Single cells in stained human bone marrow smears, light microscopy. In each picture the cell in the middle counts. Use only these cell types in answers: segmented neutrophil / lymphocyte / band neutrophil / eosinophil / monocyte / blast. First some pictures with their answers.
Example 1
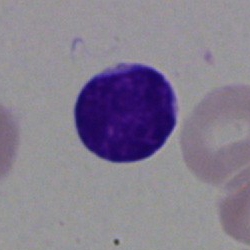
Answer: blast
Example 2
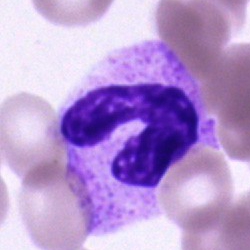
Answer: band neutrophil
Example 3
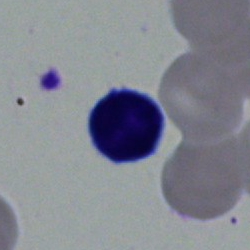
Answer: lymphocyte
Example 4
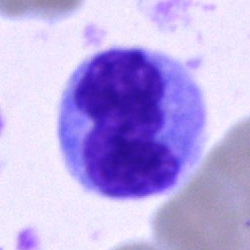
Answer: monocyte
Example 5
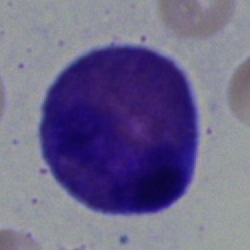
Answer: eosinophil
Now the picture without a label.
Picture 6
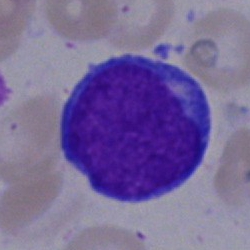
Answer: blast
